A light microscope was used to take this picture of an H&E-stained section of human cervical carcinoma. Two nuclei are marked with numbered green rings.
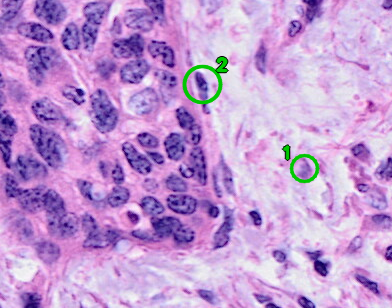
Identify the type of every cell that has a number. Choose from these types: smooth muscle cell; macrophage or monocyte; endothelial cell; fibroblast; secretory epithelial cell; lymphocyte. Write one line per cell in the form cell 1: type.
cell 1: fibroblast
cell 2: lymphocyte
